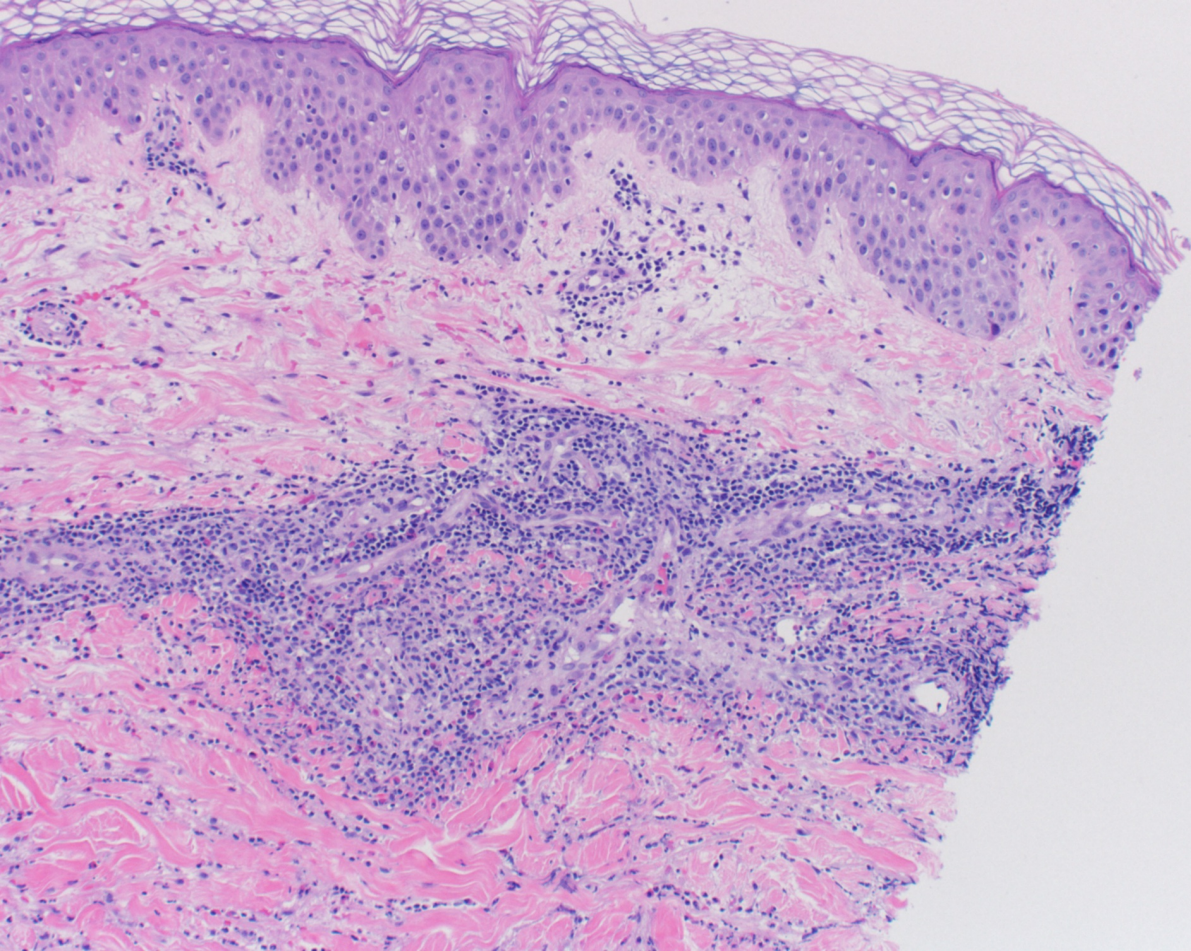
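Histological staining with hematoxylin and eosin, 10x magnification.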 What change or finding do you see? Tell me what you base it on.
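A dense band of small, dark, round nuclei lies in the mid dermis. The infiltrate clusters around small vessels. Smaller collections of similar cells sit in the papillary dermis just below the epidermis. On this evidence: lymphocytic infiltrate.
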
